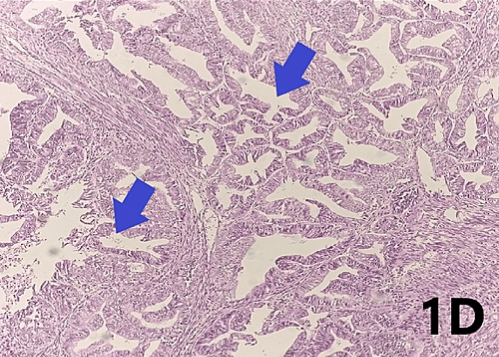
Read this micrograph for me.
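Tumour tissue showing glandular formation with numerous closely packed glands. The gland lumens are irregular, angular and branching, and appear empty. They are lined by tall cells with elongated dark nuclei crowded in several rows. Little stroma lies between the glands, and a band of pink fibrous stroma crosses the left side of the field.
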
